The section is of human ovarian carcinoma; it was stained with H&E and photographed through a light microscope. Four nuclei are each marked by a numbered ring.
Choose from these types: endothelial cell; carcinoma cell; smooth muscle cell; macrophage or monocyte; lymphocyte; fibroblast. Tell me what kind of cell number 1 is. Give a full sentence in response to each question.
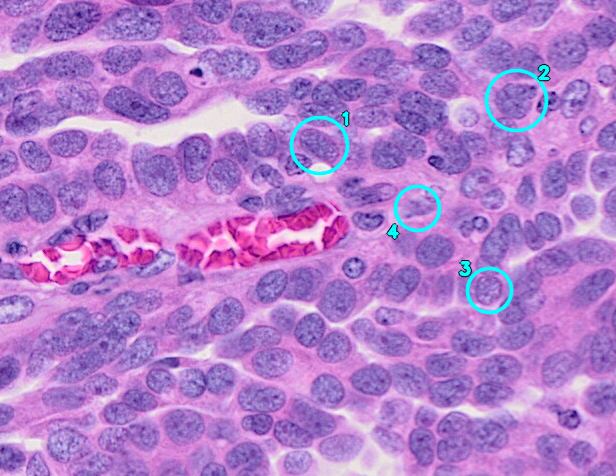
The cell carrying label 1 is identified as a carcinoma cell.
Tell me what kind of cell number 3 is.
The identity of cell 3 is that of a carcinoma cell.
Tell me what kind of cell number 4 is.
The one numbered 4 among the marked cells is a fibroblast.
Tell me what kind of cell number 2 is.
Recognised here as a carcinoma cell is the cell numbered 2.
